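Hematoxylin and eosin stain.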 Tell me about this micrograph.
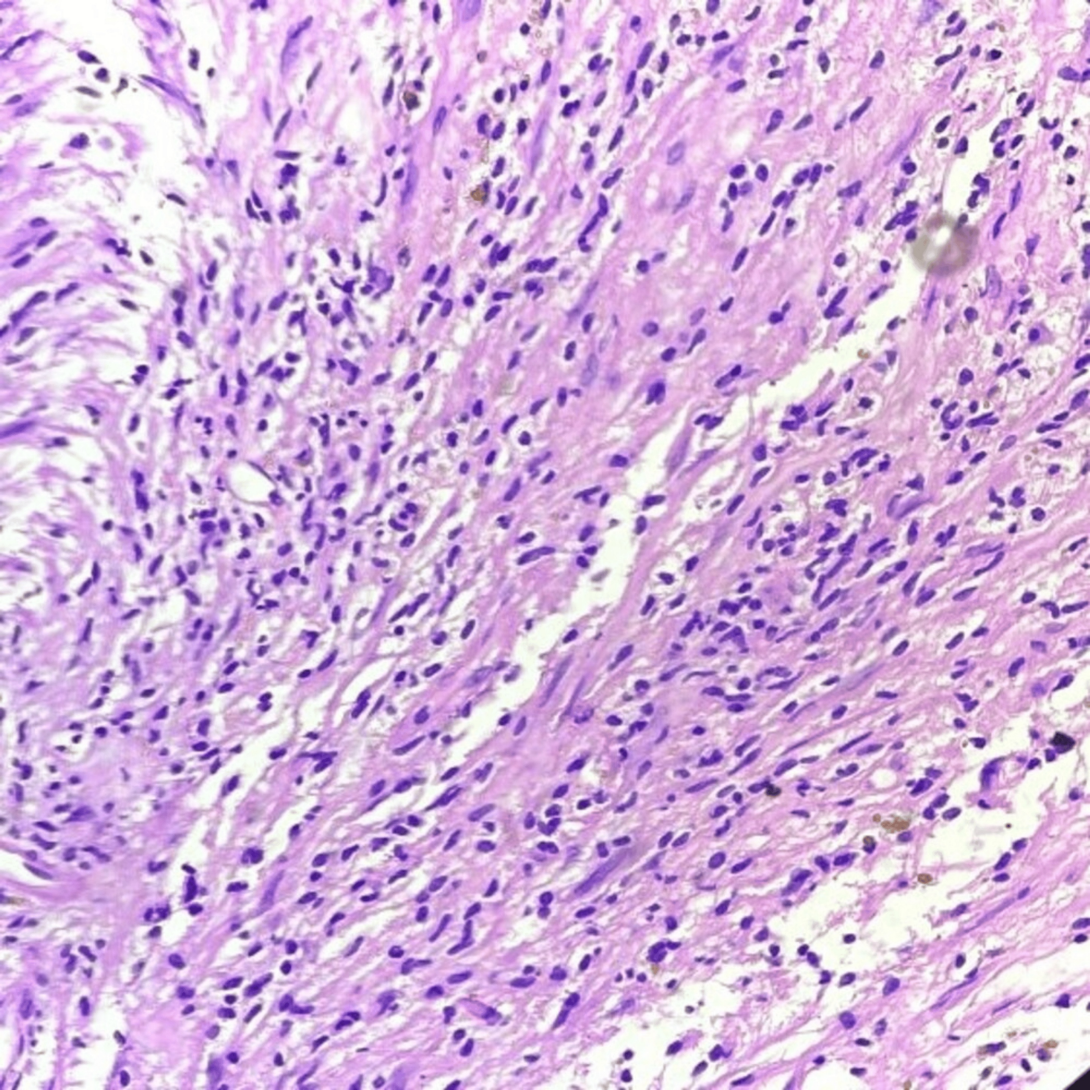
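This is a spindle cell lesion in which elongated cells with tapered, dark purple nuclei lie in a pink fibrillary stroma. The cells are arranged in streaming bundles that run mostly diagonally across the field, with a swirling area at the left. Small round dark nuclei of inflammatory cells are scattered among the bundles, and a few brown granules lie in the stroma.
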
